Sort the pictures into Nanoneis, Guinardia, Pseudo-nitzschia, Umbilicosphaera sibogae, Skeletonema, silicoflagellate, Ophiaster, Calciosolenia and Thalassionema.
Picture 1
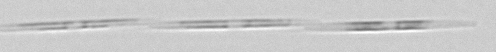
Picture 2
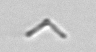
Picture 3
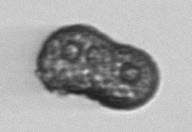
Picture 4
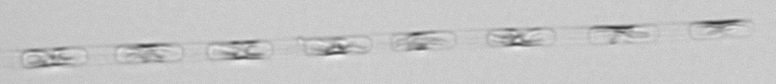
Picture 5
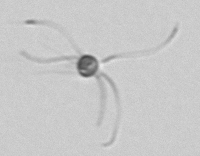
Pseudo-nitzschia: 1
Nanoneis: 2
Umbilicosphaera sibogae: 3
Skeletonema: 4
Ophiaster: 5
